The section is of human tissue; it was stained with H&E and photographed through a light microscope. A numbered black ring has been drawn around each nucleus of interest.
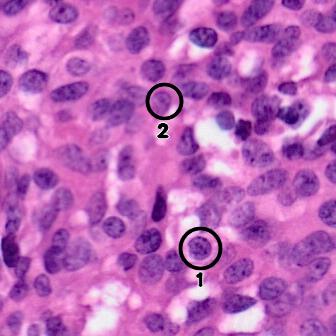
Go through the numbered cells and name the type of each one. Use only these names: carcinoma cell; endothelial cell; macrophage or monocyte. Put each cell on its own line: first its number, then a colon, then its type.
1: macrophage or monocyte
2: carcinoma cell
